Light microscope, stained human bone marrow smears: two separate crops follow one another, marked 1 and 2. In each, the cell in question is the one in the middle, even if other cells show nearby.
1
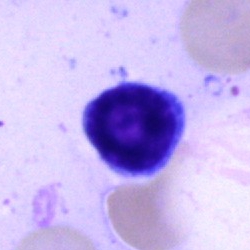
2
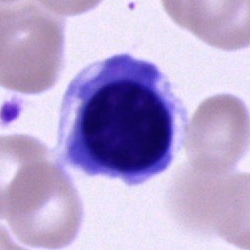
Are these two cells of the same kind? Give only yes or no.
no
